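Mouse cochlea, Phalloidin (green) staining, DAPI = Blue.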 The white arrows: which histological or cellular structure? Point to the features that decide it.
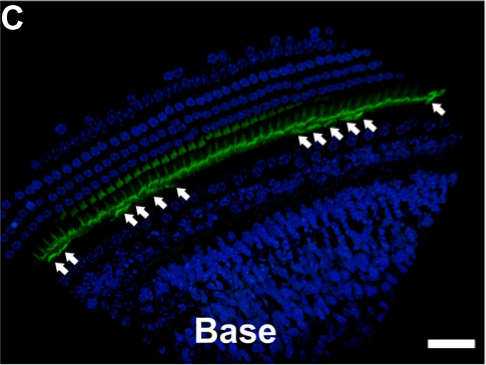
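The arrows point to a thin green band with fine comb-like projections. The green band runs along the edge of rows of blue nuclei.
Conclusion: stereocilia-like structures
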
